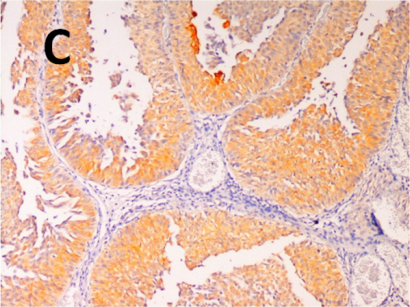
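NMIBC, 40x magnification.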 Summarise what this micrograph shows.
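This shows papillary tumour fronds covered by many layers of tumour cells, resting on thin cores of connective tissue. The epithelial cells carry a brown stain in their cytoplasm across several layers, while the stromal cores between the fronds are pale with small blue nuclei. The brown colour is deepest toward the surface of the fronds, where some cells at the edge are an intense orange-brown. The fronds are separated by clear spaces, giving a branching papillary arrangement.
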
